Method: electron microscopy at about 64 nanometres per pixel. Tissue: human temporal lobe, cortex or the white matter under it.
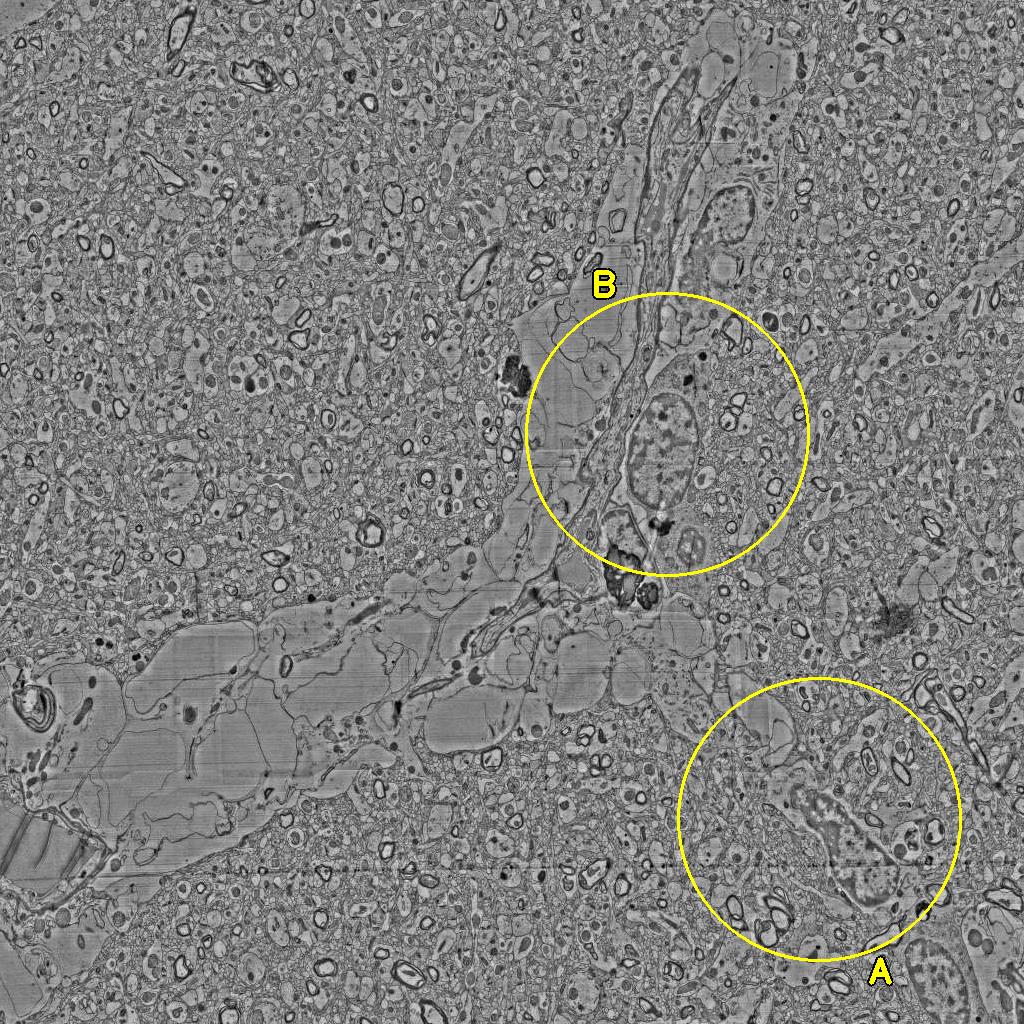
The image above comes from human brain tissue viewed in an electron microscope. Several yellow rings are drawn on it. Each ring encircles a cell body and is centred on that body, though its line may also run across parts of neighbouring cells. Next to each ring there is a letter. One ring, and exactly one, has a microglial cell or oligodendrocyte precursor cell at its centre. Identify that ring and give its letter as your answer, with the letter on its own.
A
